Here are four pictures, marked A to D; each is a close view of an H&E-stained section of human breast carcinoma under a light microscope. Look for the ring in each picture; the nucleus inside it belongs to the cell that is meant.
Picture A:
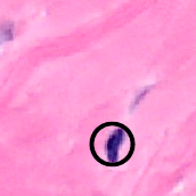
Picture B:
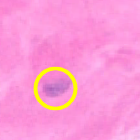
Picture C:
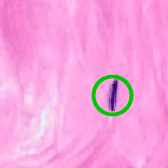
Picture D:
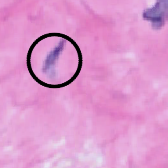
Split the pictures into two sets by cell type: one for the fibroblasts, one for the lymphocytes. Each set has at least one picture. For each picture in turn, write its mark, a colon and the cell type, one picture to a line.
A: lymphocyte
B: fibroblast
C: fibroblast
D: fibroblast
